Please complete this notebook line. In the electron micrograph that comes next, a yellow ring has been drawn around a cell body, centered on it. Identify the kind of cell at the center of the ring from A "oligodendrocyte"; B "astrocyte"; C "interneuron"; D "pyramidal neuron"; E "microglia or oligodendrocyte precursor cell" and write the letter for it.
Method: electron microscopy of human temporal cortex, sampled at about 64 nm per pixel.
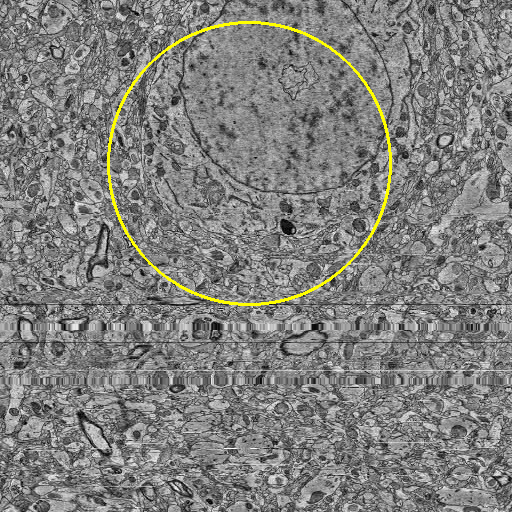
D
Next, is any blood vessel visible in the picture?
No, none shows.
